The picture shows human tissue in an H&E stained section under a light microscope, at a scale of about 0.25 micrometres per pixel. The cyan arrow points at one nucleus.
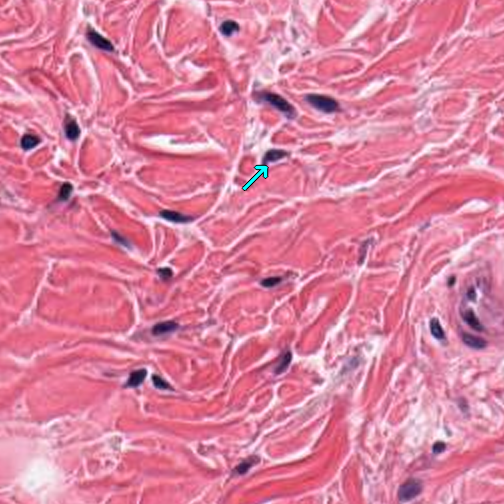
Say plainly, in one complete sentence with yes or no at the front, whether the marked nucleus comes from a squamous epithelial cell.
No, the marked nucleus is not borne by a squamous epithelial cell; it is borne by a supporting cell.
